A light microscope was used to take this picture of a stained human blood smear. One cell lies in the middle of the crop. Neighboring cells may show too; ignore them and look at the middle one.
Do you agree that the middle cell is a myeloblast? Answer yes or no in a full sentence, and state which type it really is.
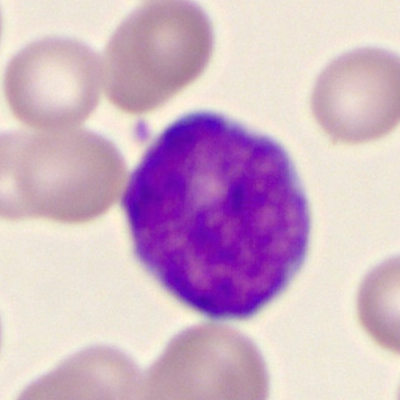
Yes, the cell in the middle is rightly called a myeloblast.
